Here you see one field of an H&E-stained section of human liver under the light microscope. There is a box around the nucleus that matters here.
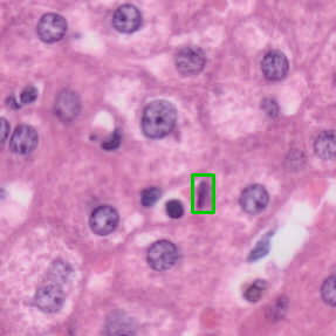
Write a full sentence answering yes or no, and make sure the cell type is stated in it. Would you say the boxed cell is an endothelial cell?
Yes, the boxed cell is, by type, an endothelial cell.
